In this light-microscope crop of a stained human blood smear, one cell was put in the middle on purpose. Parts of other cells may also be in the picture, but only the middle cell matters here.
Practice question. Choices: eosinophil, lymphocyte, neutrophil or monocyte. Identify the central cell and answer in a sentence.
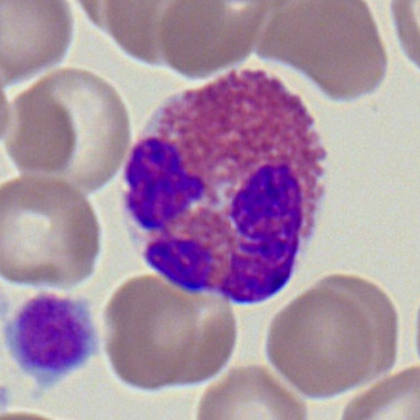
The identification for the central cell is an eosinophil.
